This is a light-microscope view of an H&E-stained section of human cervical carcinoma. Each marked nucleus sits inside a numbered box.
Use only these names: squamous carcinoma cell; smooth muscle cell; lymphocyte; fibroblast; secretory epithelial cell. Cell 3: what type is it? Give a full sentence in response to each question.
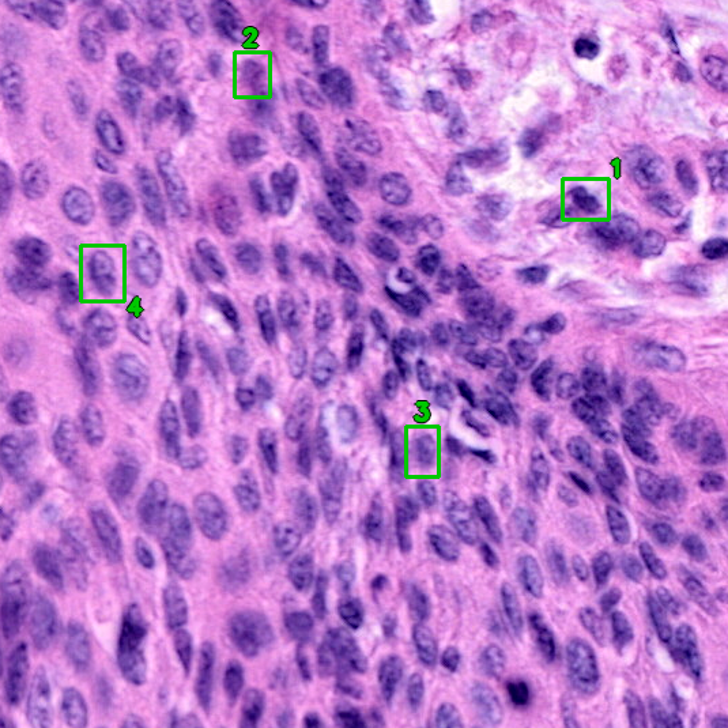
Corresponding to a squamous carcinoma cell is the cell labelled 3.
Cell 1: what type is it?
Within this field of view, the cell labelled 1 is a lymphocyte.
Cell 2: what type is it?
Of the numbered cells, the one labelled 2 is a squamous carcinoma cell.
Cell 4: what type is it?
The cell given label 4 is a squamous carcinoma cell.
